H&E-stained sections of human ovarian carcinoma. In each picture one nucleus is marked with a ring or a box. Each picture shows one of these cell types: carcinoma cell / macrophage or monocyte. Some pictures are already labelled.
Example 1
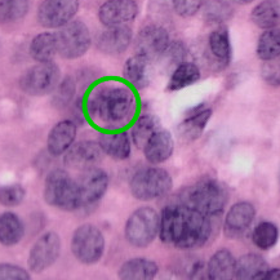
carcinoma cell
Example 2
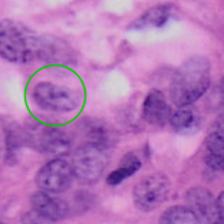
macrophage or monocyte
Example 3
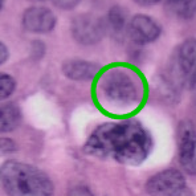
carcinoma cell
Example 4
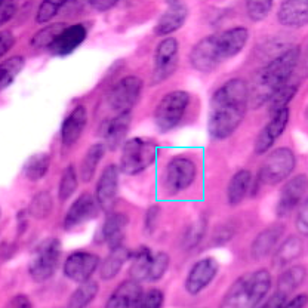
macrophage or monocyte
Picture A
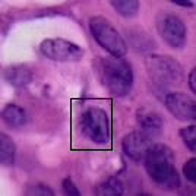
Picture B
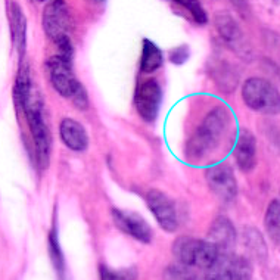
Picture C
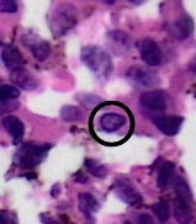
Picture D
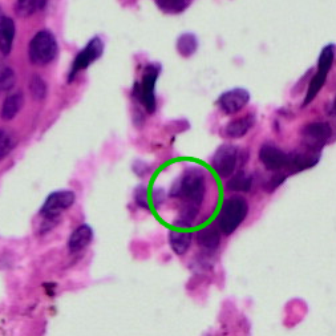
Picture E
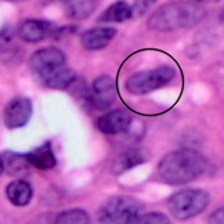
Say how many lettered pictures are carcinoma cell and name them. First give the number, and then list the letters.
2, namely B, D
